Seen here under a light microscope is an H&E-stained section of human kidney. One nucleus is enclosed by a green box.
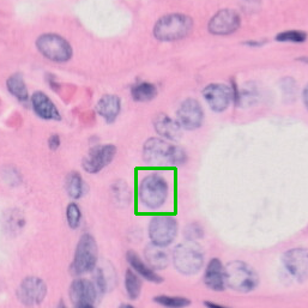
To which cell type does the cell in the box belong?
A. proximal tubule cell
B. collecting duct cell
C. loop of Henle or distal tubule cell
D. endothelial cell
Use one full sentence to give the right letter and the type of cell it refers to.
The correct identification, the cell in the box as a collecting duct cell, is given by option B.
